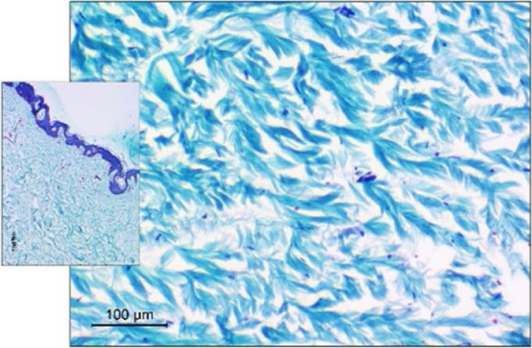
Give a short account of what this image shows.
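This field of the dermis is filled with blue-stained collagen bundles that are wavy, elongated and interlacing in different directions. Clear spaces separate the bundles. Only a few small, dark, spindle-shaped nuclei lie between the bundles.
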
